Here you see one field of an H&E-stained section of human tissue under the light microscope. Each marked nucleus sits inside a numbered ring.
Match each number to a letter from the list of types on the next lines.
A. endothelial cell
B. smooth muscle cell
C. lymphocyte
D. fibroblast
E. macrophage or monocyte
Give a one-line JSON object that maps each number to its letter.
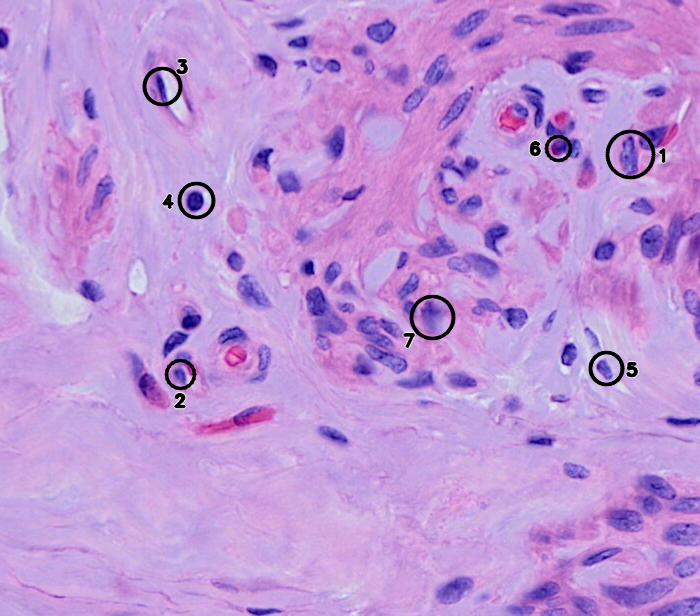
{"1": "A", "2": "A", "3": "A", "4": "C", "5": "C", "6": "A", "7": "B"}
